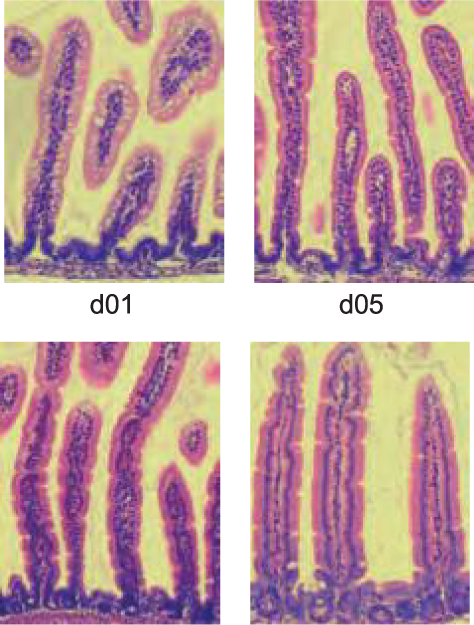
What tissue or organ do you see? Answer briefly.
Small intestinal tissue.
